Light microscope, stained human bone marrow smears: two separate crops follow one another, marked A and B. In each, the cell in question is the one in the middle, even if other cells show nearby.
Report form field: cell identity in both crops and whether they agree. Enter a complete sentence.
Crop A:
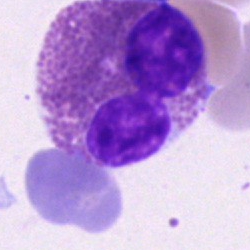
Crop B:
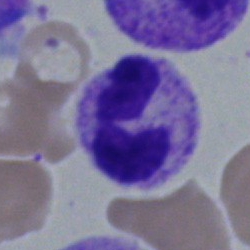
No, crop B holds a segmented neutrophil, while crop A holds an eosinophil.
